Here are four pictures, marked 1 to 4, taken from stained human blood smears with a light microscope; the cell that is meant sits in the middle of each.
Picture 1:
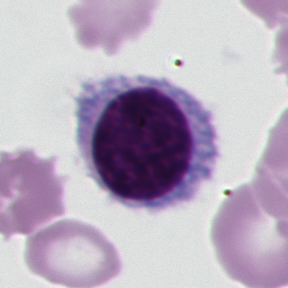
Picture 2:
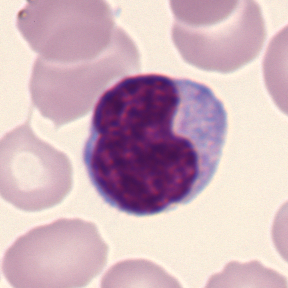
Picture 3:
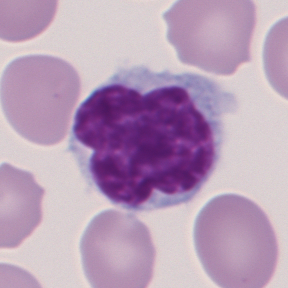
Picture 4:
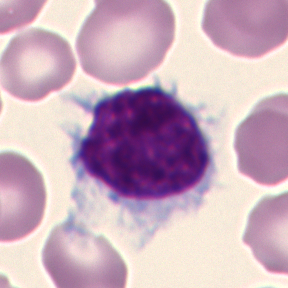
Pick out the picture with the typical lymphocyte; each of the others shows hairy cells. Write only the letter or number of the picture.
2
